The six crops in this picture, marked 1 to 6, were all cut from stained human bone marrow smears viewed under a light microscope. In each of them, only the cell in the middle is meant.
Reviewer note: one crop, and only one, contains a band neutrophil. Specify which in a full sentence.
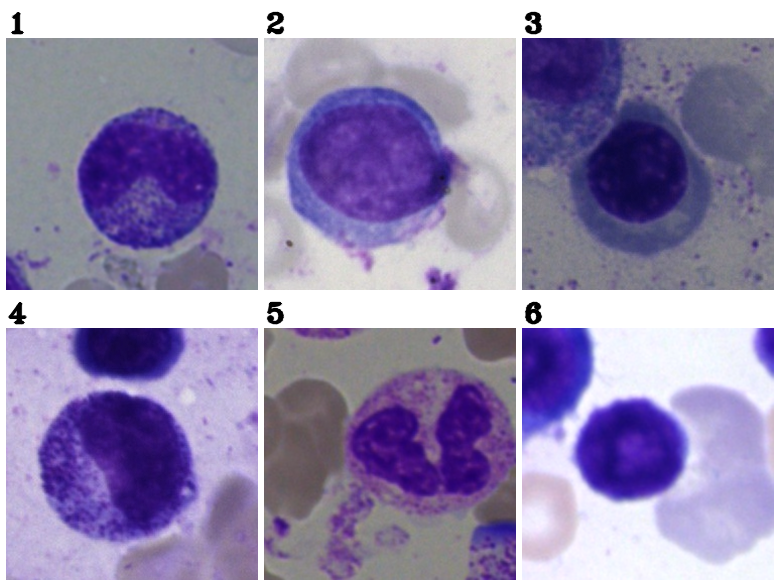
It is the cell in crop 1 that is a band neutrophil.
